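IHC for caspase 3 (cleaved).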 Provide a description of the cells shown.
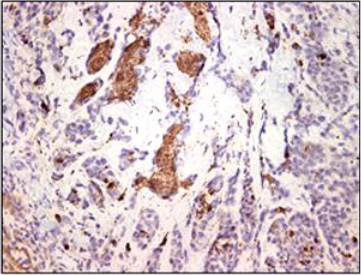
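Tumor tissue made of densely packed cells with small blue-stained oval to elongated nuclei set in a loose pale background. Scattered irregular clusters of cells are filled with dark brown staining. Between them lie cells with only blue nuclei and little visible cytoplasm.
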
